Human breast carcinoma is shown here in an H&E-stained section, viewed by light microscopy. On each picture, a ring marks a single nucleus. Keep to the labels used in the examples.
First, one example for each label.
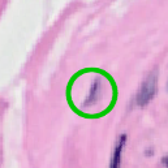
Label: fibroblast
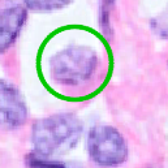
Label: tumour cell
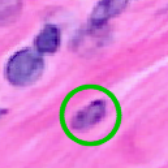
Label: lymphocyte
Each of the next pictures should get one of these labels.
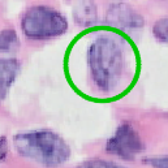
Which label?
tumour cell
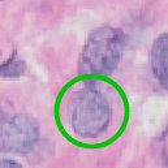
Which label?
tumour cell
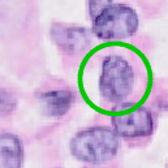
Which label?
tumour cell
